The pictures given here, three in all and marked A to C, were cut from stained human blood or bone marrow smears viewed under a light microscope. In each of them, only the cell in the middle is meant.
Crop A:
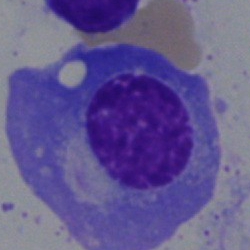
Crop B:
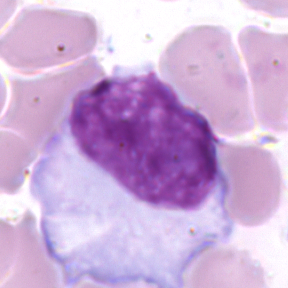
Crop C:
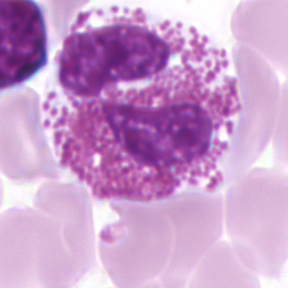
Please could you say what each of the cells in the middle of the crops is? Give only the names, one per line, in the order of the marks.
plasma cell
plasma cell
eosinophil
